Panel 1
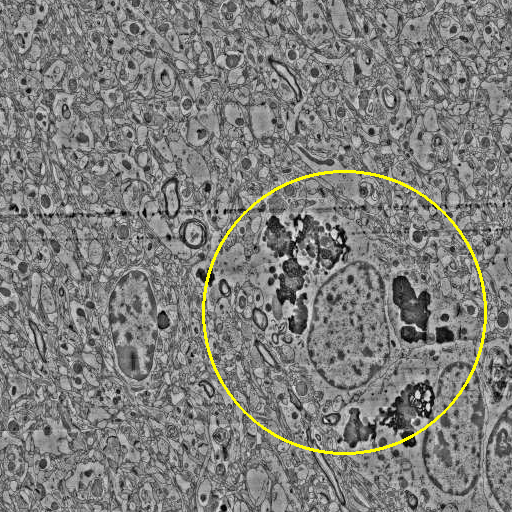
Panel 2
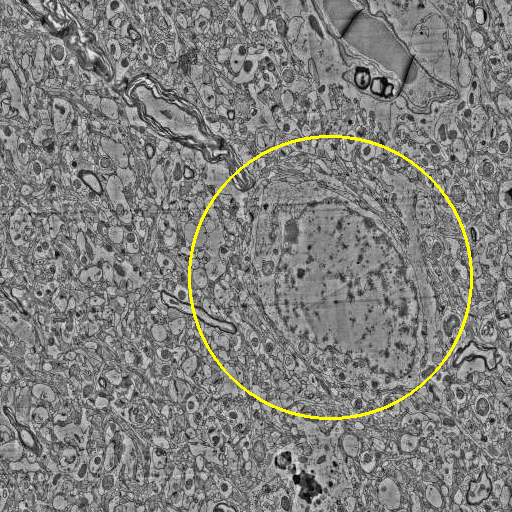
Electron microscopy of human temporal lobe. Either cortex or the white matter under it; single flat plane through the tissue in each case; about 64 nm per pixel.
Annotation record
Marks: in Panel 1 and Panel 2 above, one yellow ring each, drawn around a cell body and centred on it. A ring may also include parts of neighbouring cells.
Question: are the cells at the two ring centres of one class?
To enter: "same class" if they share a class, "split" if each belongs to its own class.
split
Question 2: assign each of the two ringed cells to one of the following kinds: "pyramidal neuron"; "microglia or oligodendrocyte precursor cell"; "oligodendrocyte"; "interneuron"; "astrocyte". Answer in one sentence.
The two cells are an astrocyte in the first picture and an interneuron in the second.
